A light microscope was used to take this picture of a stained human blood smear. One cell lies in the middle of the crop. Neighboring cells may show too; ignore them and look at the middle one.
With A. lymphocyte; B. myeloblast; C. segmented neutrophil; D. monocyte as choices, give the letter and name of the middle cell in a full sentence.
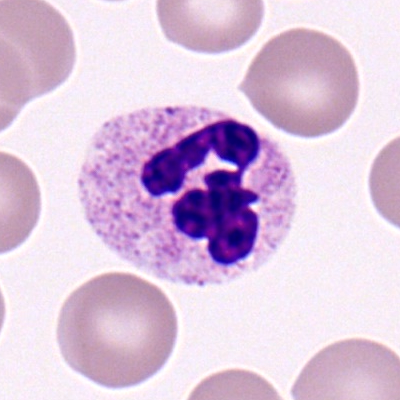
The cell in the middle is correctly identified as a segmented neutrophil in option C.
